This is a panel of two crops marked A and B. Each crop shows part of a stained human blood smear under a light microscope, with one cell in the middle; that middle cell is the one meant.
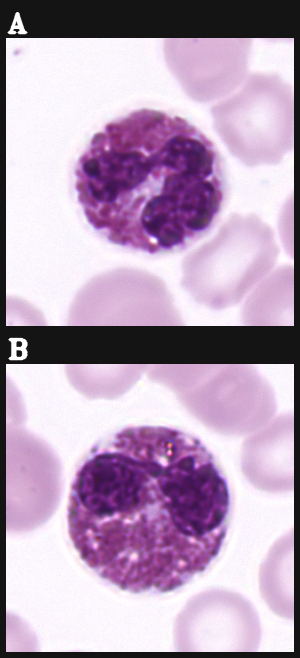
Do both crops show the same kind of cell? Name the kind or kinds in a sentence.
Yes, the cells under consideration in both crops are eosinophils.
